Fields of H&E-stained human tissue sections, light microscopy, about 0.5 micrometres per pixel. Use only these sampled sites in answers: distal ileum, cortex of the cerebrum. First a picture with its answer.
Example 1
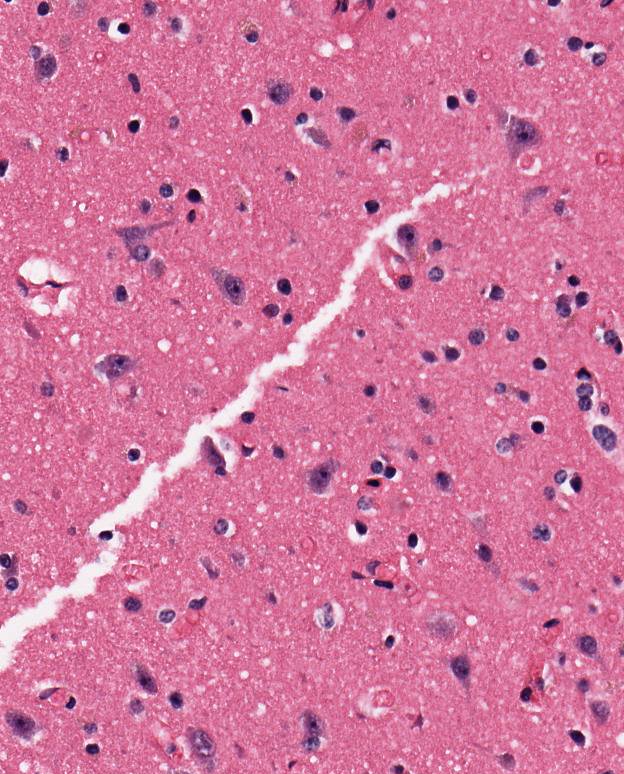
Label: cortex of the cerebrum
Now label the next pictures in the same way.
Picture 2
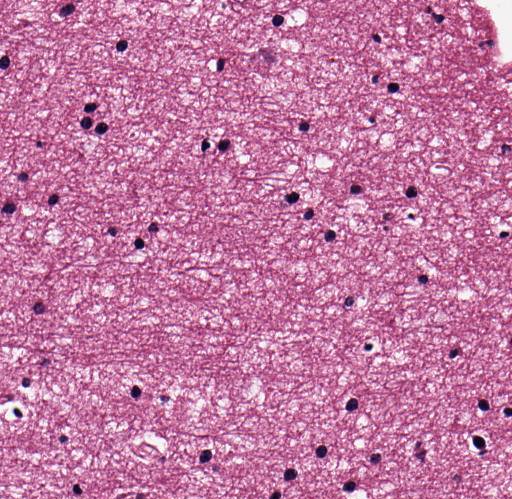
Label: cortex of the cerebrum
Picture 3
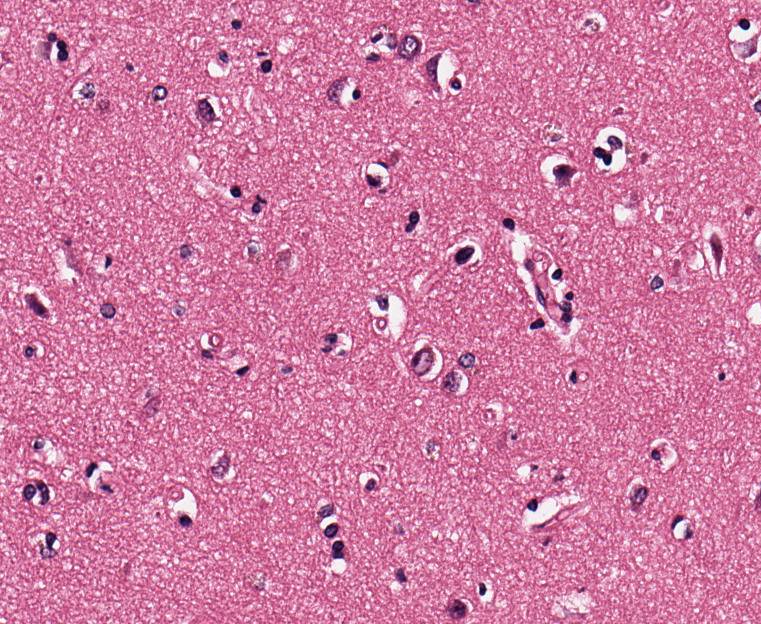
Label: cortex of the cerebrum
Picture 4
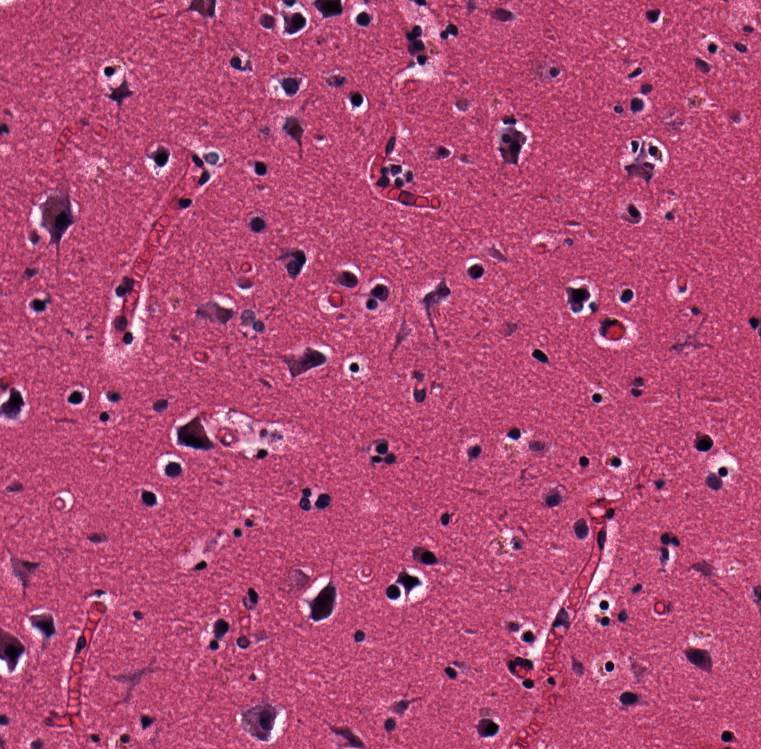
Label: cortex of the cerebrum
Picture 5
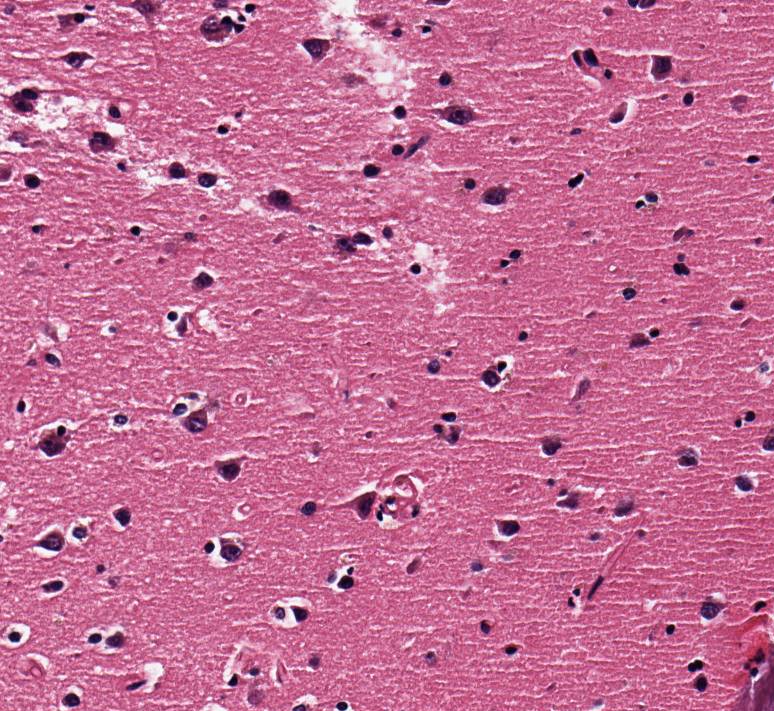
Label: cortex of the cerebrum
